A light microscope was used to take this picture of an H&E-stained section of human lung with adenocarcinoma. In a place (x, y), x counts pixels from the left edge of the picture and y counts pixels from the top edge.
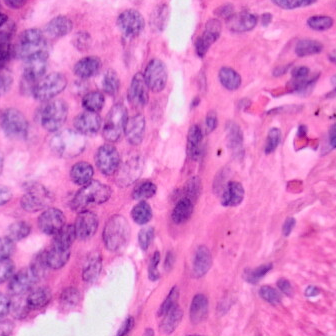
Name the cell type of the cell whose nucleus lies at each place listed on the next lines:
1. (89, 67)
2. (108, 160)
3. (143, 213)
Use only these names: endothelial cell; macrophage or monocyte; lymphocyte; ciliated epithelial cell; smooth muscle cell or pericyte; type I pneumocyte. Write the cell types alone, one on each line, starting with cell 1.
ciliated epithelial cell
ciliated epithelial cell
lymphocyte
